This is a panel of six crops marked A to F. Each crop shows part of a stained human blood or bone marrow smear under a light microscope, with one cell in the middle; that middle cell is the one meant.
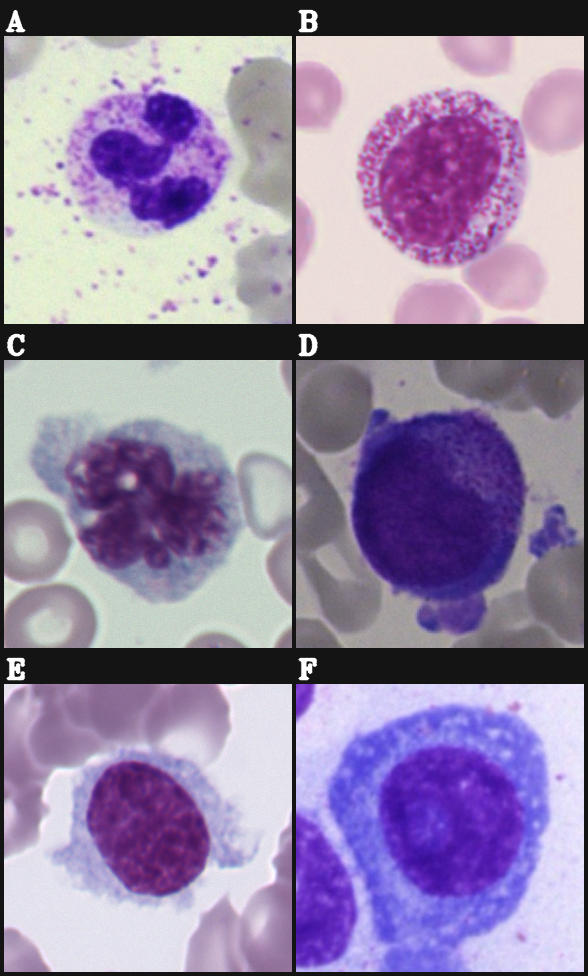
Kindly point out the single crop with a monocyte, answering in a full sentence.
Crop C is the crop whose central cell is a monocyte.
